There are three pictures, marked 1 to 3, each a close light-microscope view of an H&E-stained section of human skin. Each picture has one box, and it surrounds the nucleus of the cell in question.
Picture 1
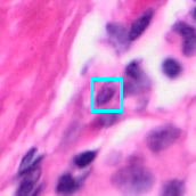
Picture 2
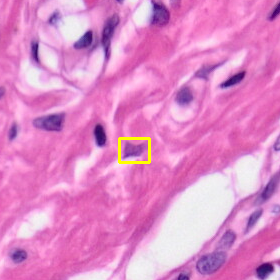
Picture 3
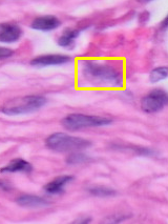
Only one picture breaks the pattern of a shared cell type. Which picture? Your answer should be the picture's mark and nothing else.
2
